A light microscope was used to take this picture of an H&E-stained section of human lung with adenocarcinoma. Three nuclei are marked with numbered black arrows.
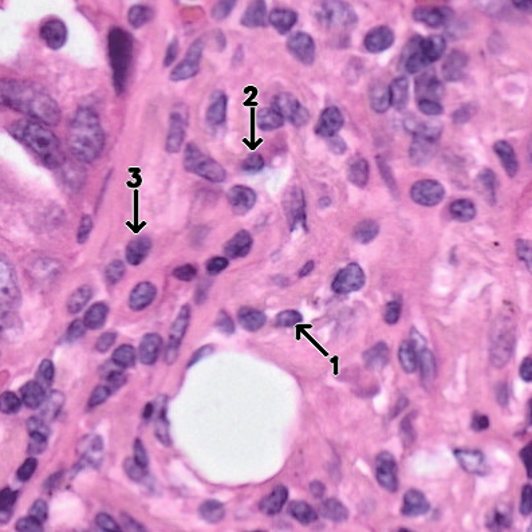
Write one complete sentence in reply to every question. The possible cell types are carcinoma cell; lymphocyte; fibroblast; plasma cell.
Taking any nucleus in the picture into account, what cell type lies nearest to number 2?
The nearest nucleus to number 2 belongs to a lymphocyte.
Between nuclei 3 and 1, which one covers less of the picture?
Nucleus 1 covers less area, with nucleus 3 about 2 times as large.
